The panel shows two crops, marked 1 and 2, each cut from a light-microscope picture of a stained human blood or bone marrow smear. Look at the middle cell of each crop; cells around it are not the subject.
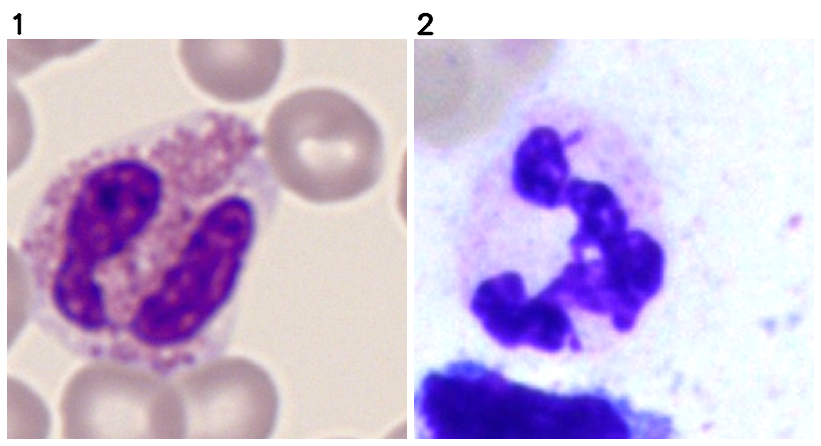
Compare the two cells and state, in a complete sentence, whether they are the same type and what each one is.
No, crop 1 offers an eosinophil, while crop 2 offers a segmented neutrophil.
